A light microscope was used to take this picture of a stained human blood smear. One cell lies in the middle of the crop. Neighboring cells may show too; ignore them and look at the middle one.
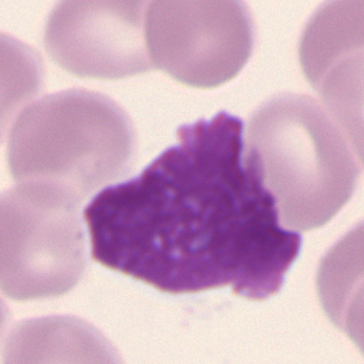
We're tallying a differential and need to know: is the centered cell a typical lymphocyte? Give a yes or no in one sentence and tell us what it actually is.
No, the central cell is classed as a smudge cell and not as a typical lymphocyte.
